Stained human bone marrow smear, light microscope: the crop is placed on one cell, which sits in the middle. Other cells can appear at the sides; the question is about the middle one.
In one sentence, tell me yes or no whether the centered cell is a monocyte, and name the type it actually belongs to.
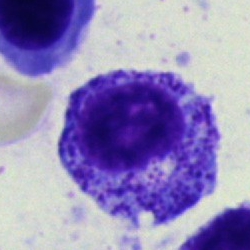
No, the centred cell is a myelocyte, and it is not a monocyte.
